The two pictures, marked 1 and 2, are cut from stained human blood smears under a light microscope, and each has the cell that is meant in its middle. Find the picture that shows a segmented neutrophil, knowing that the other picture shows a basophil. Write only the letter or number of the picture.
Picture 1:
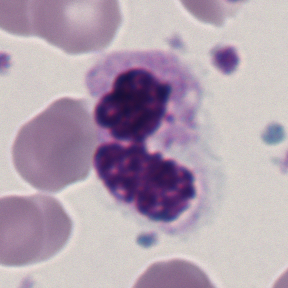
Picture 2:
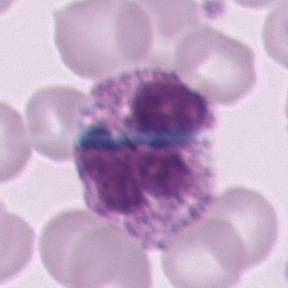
1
